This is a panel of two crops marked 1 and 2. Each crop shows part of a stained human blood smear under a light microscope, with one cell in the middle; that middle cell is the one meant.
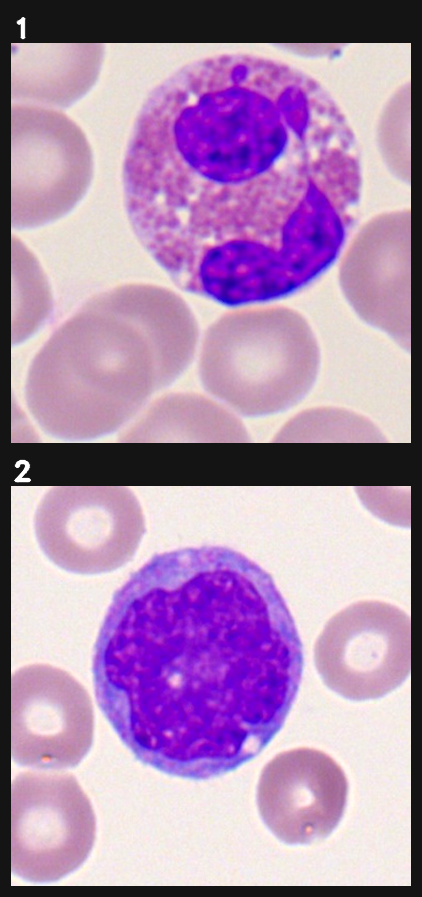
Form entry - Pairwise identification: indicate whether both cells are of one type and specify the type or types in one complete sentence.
No, what crop 1 shows is an eosinophil, and what crop 2 shows is a monocyte.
